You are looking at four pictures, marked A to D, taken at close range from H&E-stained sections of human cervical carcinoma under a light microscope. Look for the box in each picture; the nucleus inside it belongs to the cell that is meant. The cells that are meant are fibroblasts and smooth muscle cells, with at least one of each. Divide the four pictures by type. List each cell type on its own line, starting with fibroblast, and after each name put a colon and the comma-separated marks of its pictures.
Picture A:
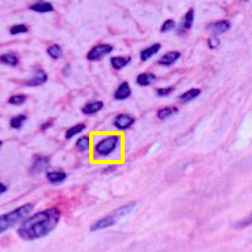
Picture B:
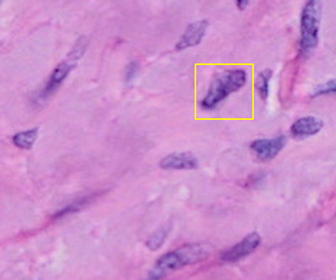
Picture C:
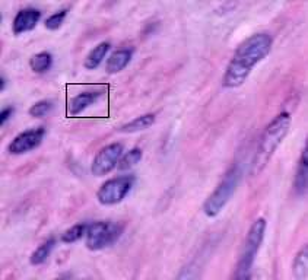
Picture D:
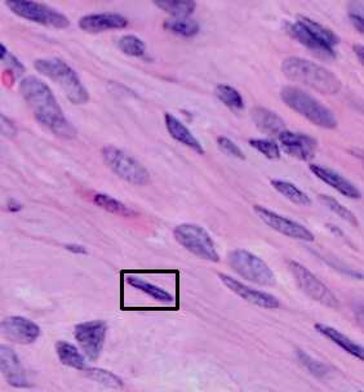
fibroblast: B, D
smooth muscle cell: A, C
